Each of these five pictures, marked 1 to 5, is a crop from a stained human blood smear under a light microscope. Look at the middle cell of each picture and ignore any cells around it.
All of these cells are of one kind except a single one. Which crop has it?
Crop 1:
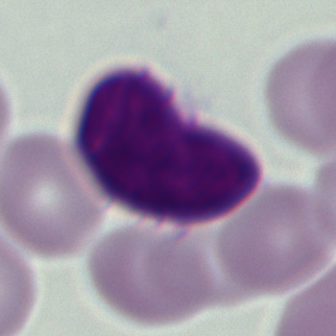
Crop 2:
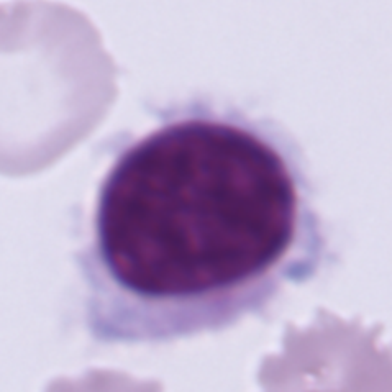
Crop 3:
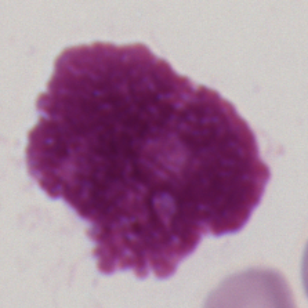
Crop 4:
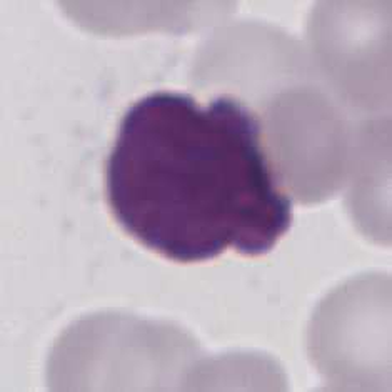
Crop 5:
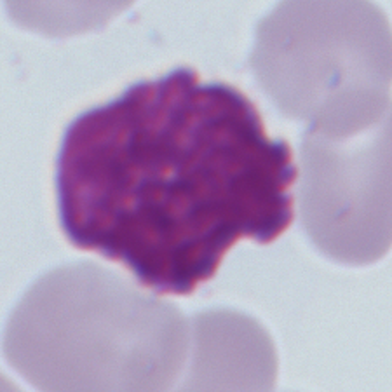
2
